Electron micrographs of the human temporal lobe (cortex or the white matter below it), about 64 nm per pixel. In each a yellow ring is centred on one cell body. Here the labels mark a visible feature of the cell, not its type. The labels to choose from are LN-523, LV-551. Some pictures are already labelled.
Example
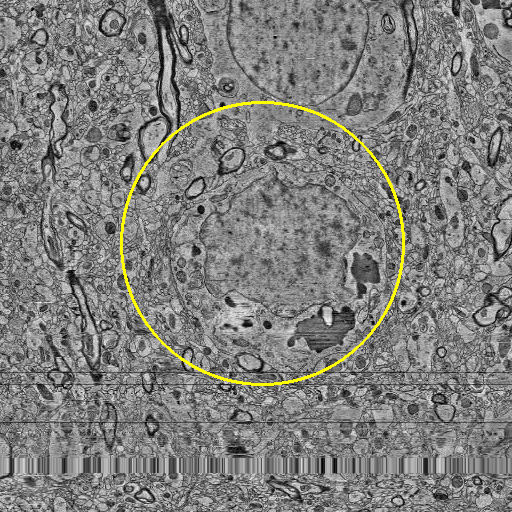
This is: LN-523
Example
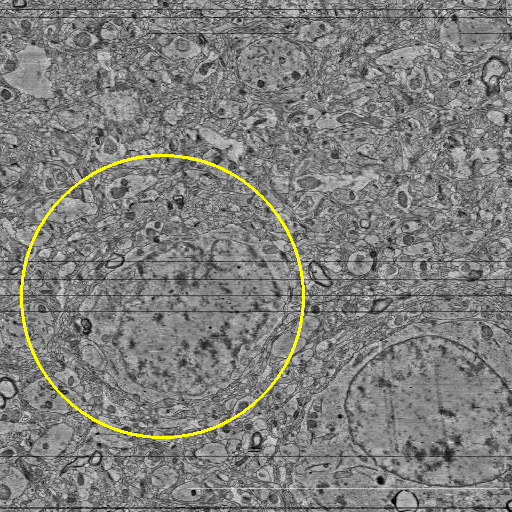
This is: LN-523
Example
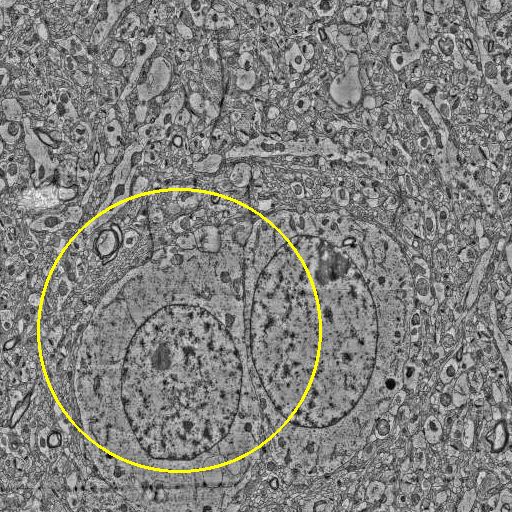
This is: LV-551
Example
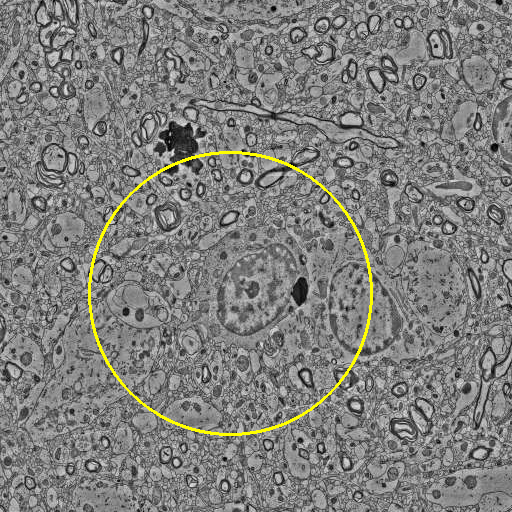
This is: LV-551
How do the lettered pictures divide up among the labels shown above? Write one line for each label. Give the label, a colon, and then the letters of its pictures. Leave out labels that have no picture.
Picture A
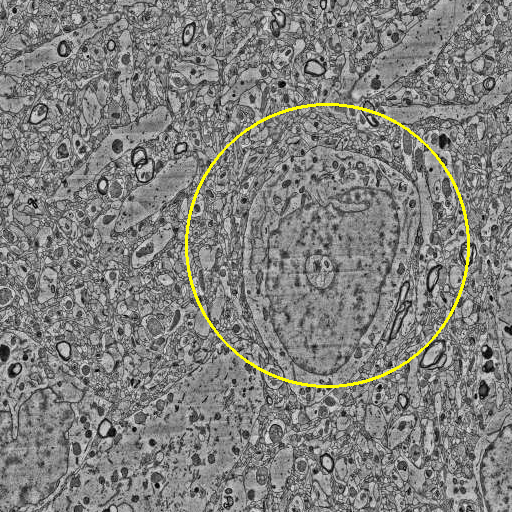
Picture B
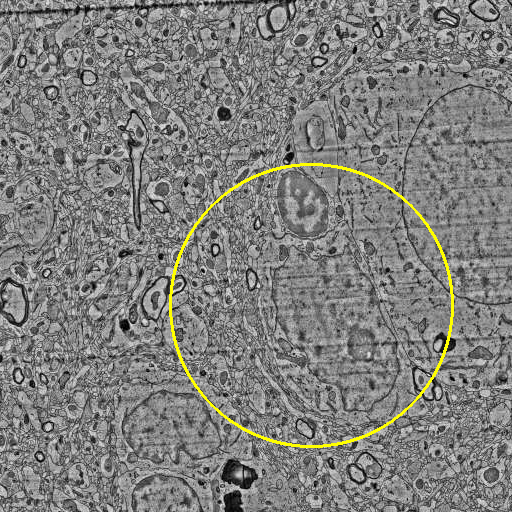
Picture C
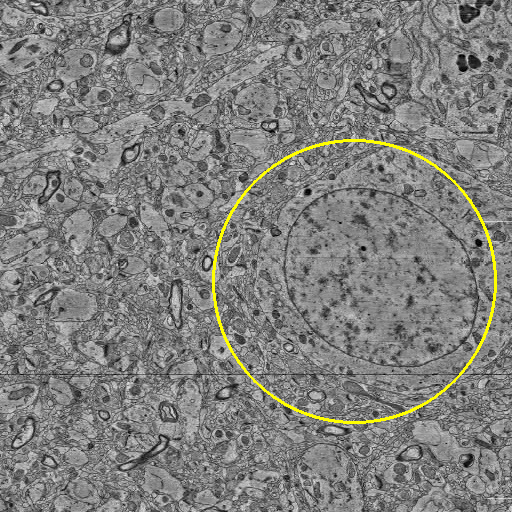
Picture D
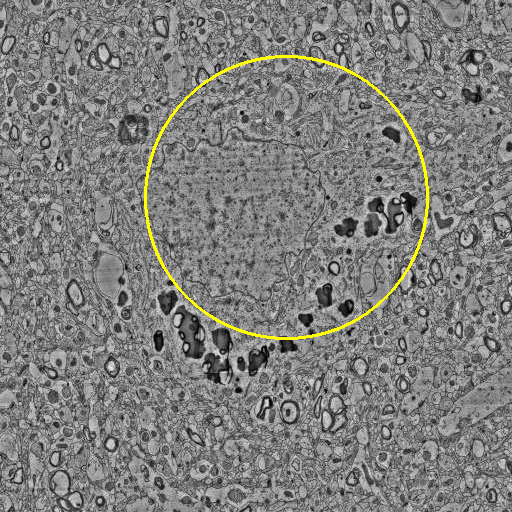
LN-523: C, D
LV-551: A, B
